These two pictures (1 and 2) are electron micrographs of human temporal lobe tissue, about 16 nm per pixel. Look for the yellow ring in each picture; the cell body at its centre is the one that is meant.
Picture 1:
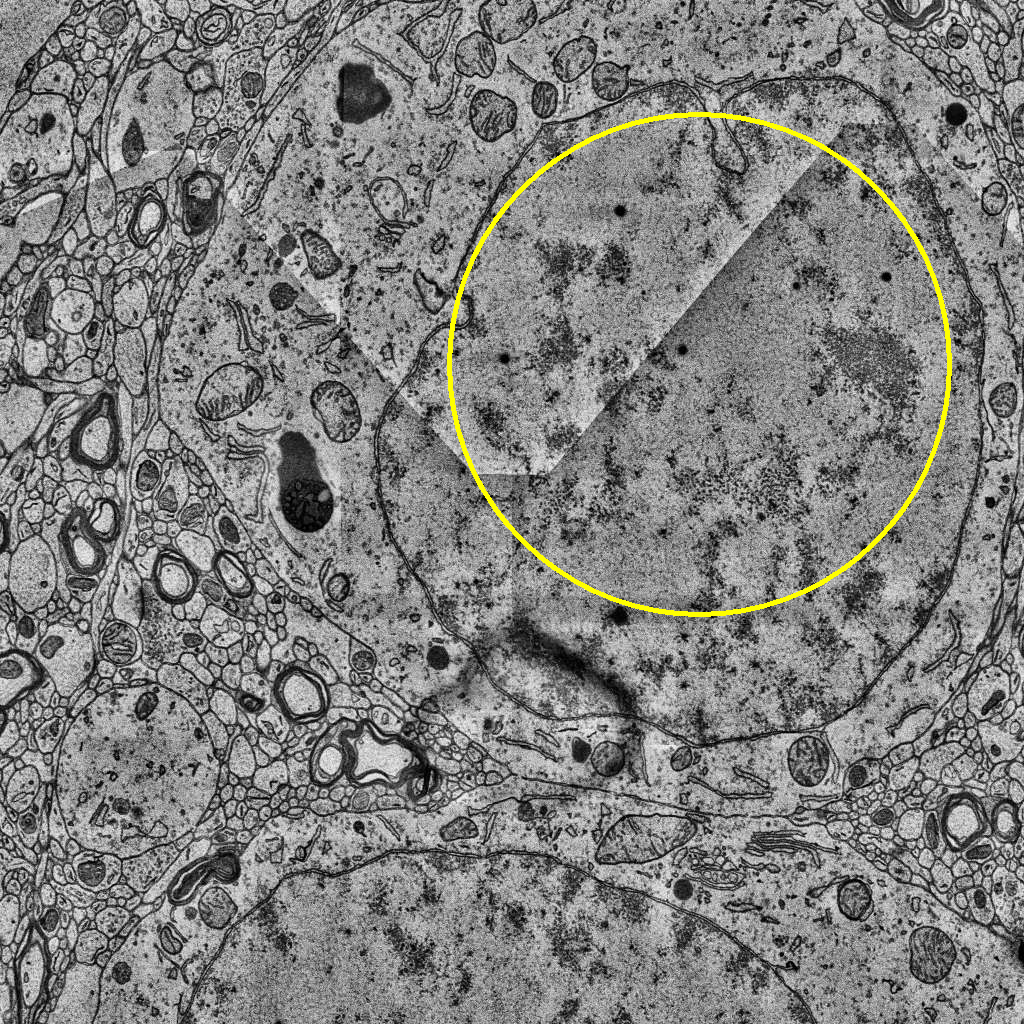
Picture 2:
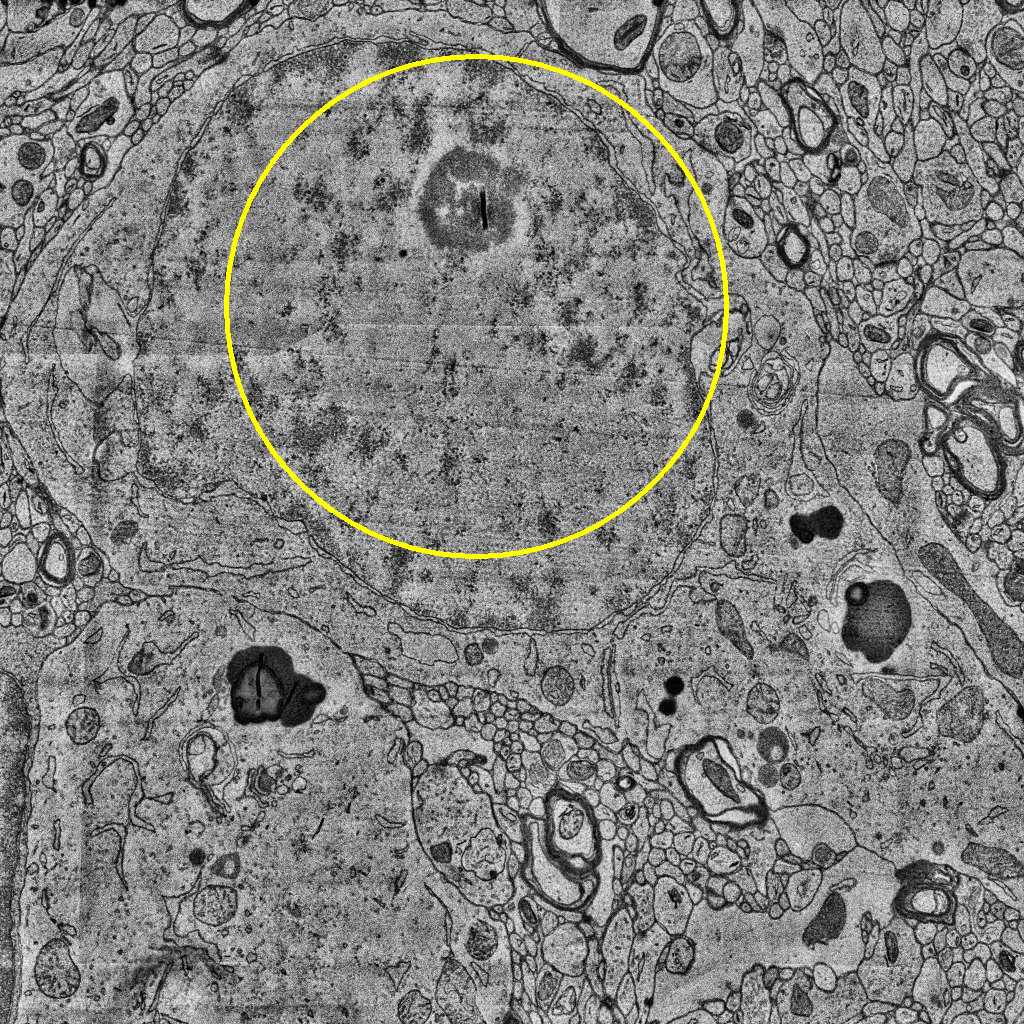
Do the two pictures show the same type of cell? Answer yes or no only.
no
